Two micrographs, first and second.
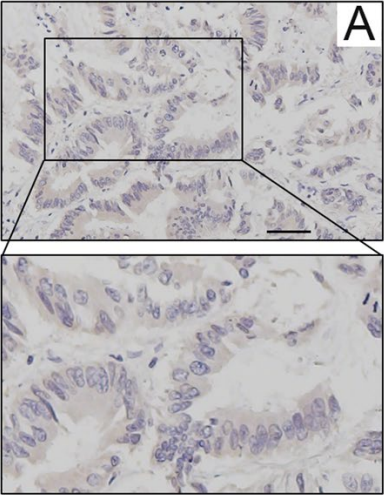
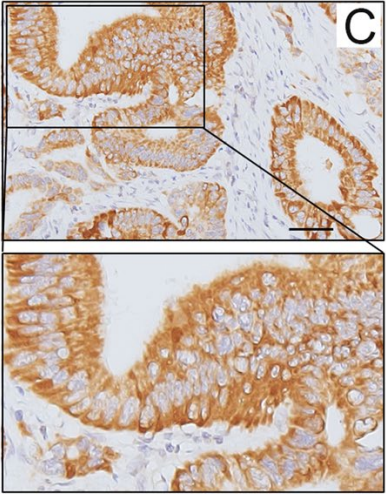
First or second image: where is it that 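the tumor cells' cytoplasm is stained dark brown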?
The second image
